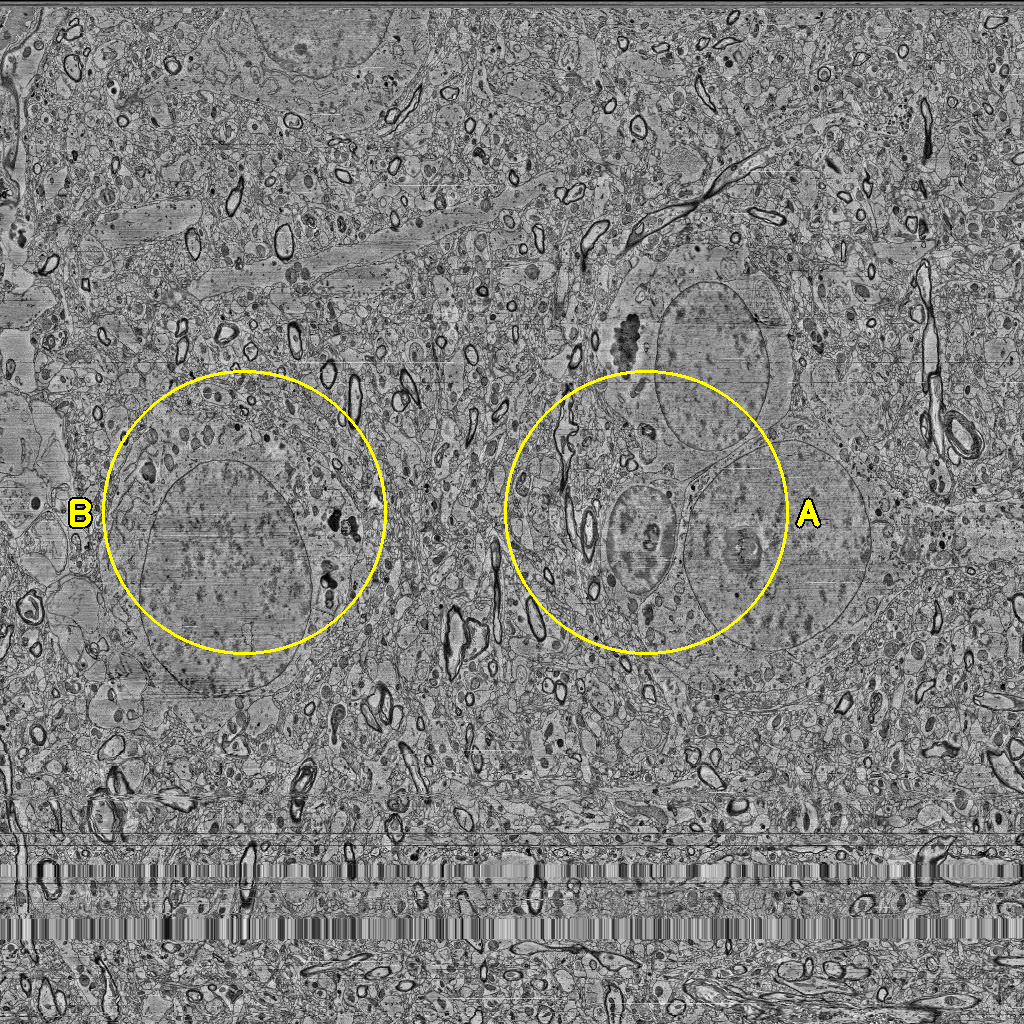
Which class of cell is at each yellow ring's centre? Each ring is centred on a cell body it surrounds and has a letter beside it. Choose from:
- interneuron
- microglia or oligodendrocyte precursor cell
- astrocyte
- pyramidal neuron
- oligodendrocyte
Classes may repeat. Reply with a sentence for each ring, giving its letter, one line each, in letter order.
The ring lettered A is centred on an oligodendrocyte.
The ring lettered B is centred on a pyramidal neuron.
